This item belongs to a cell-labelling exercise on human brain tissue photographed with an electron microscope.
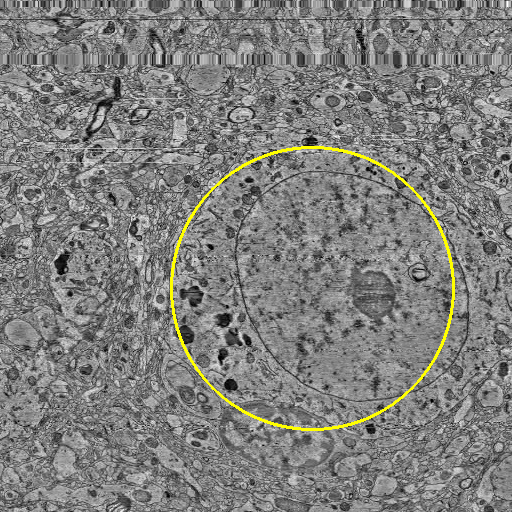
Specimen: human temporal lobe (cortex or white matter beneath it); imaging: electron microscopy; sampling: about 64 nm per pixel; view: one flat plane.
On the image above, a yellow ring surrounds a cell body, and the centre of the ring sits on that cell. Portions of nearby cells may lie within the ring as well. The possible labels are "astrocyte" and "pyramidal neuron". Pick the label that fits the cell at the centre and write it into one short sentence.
This cell should be labelled as a pyramidal neuron.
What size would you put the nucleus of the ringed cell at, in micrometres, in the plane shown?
Roughly 17 by 14 micrometres is the size of the nucleus in this plane.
